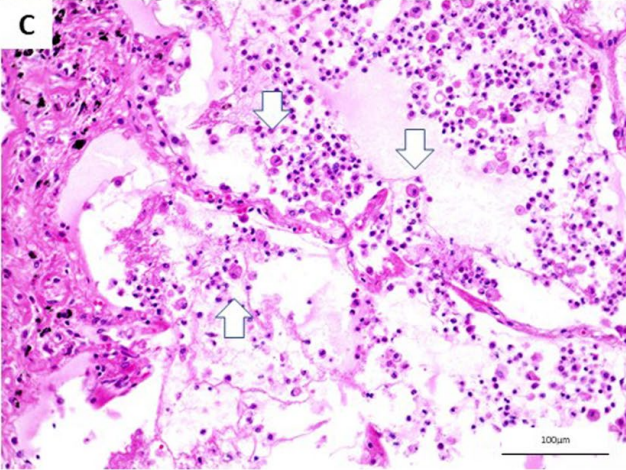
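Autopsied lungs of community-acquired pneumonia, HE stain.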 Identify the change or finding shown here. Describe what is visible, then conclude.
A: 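The alveolar spaces are crowded with many free-lying cells. Numerous small cells with dark nuclei fill the air spaces along with pale pink fluid.
Strong infiltration of inflammatory cells.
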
